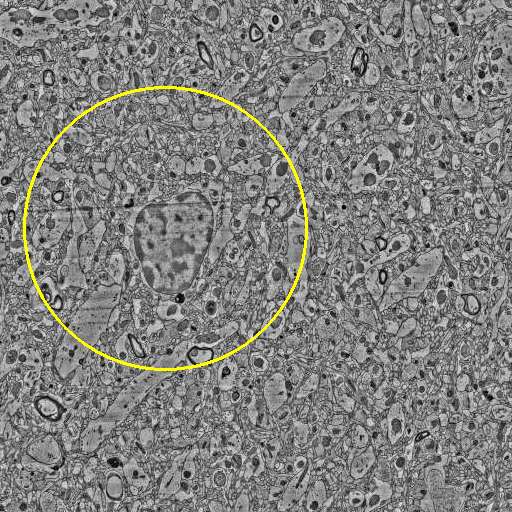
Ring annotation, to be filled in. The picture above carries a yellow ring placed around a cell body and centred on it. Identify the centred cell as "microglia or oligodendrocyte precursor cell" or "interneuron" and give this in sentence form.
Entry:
The cell in the middle of the ring is a microglial cell or oligodendrocyte precursor cell.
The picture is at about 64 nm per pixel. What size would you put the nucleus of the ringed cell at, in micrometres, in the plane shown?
The nucleus is approximately 7 micrometers long by 5 micrometers wide in this plane.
